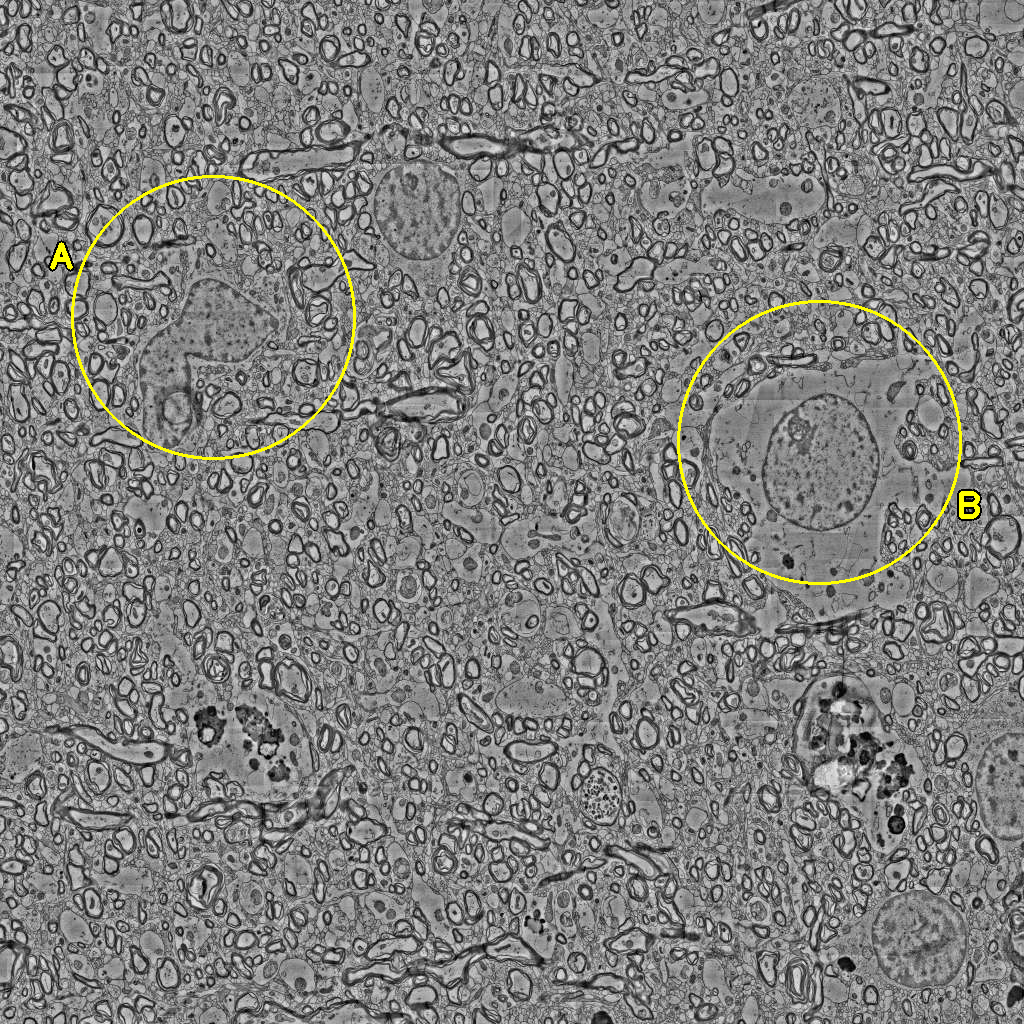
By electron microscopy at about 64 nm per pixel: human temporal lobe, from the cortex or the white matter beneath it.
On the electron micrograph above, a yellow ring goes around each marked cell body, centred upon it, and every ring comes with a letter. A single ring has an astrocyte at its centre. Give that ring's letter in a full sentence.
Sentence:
The ring holding the cell asked for at its centre bears the letter B.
